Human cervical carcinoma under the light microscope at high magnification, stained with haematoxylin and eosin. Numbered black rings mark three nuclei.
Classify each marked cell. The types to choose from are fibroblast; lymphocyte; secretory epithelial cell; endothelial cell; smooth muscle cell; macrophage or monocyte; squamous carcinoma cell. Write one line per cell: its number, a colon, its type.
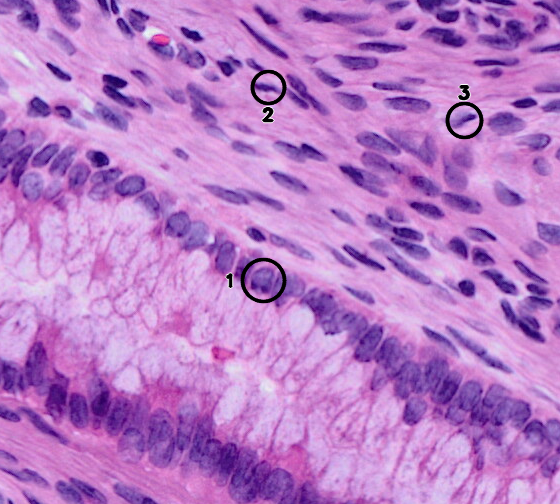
1: secretory epithelial cell
2: fibroblast
3: fibroblast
